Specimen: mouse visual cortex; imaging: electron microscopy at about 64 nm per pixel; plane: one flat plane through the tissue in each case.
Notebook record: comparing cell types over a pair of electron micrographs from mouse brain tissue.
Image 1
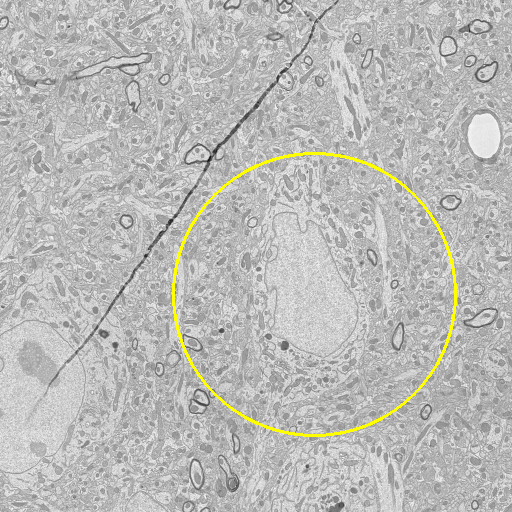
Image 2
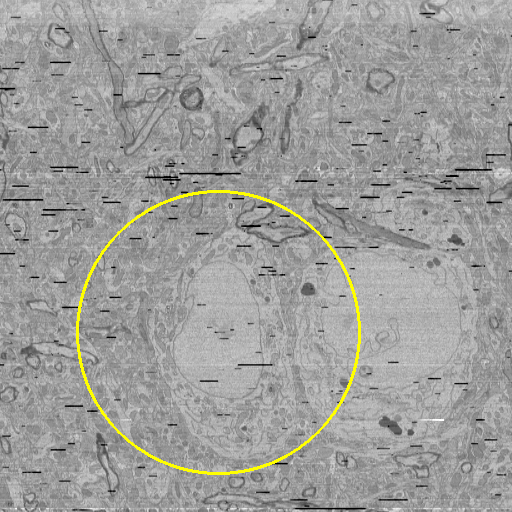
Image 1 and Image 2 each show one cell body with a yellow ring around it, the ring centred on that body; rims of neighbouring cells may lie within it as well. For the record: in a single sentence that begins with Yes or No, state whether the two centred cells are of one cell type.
Yes, one cell type is shared by the centred cells of Image 1 and Image 2.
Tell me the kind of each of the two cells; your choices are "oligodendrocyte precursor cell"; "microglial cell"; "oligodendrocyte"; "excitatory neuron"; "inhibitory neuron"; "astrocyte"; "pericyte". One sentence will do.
Both cells are the same kind, each one being an inhibitory neuron.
